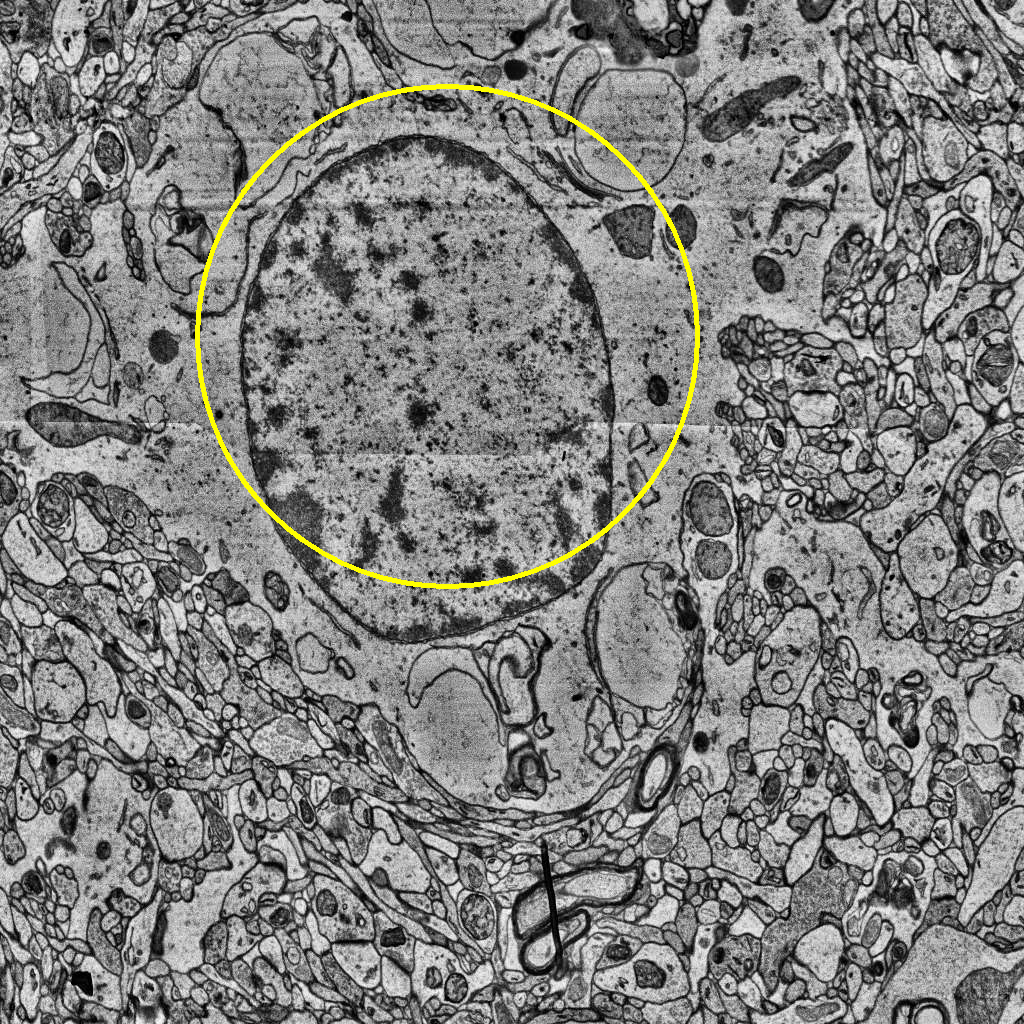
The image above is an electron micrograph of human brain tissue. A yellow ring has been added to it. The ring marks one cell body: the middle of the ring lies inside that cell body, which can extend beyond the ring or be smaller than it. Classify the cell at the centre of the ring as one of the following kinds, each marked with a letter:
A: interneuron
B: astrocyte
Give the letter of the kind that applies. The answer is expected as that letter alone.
B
